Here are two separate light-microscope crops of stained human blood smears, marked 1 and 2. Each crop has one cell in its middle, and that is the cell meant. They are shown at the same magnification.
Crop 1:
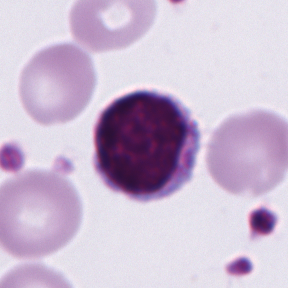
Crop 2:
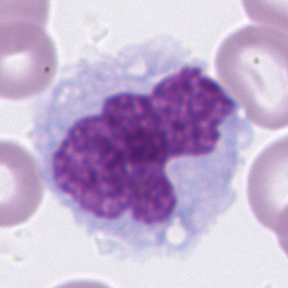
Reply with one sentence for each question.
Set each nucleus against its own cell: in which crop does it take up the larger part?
It is the cell in crop 1 that is filled more by its nucleus.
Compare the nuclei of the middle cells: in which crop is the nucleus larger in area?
It is the nucleus in crop 2, about 2.5 times as large in area as the one in crop 1.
